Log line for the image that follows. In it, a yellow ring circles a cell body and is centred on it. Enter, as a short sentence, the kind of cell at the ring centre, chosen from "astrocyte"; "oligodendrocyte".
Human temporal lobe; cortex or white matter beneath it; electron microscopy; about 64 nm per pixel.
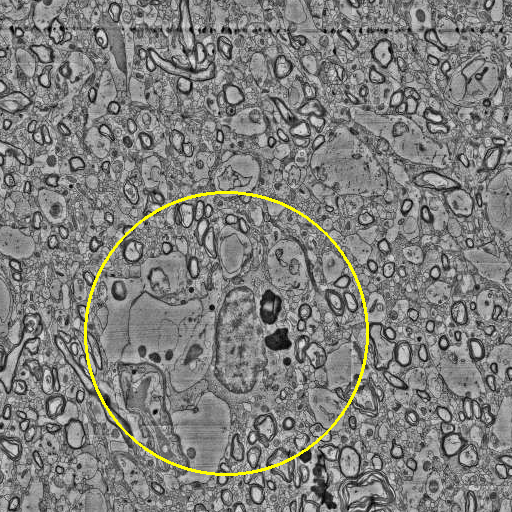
The ring centre is occupied by an oligodendrocyte.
